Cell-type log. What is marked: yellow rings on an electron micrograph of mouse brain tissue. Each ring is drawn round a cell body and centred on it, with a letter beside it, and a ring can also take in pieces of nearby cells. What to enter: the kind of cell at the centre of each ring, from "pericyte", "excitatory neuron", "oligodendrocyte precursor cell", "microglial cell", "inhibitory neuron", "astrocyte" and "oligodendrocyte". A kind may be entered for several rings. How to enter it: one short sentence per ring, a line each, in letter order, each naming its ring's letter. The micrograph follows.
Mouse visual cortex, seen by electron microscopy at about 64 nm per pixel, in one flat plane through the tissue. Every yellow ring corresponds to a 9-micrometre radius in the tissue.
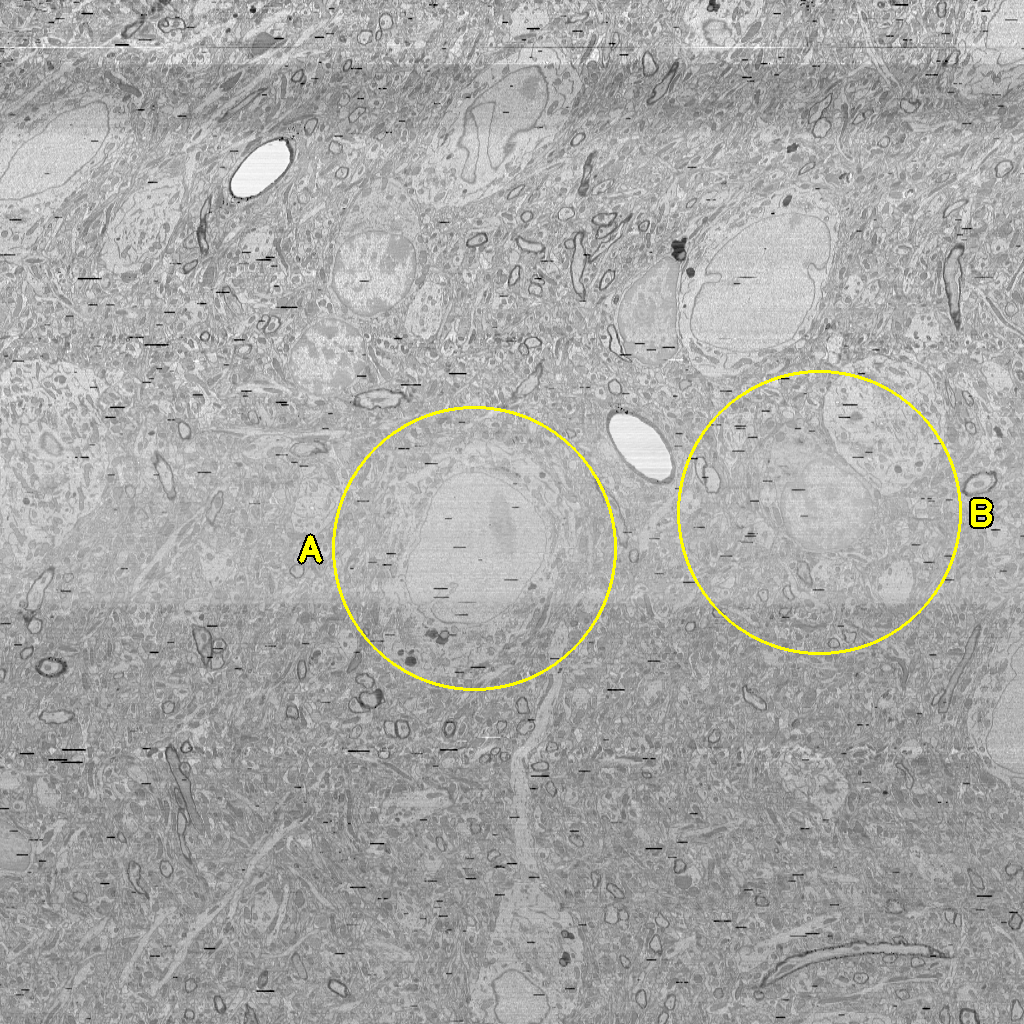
For ring A, the centre cell is an excitatory neuron.
For ring B, the centre cell is an oligodendrocyte.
